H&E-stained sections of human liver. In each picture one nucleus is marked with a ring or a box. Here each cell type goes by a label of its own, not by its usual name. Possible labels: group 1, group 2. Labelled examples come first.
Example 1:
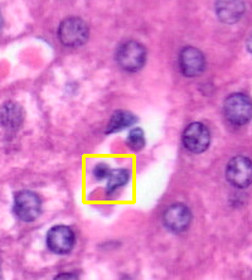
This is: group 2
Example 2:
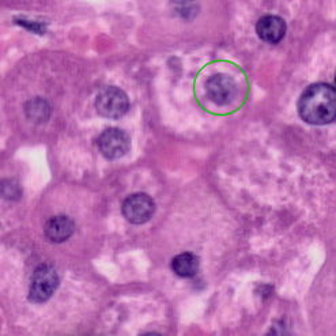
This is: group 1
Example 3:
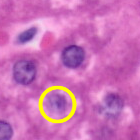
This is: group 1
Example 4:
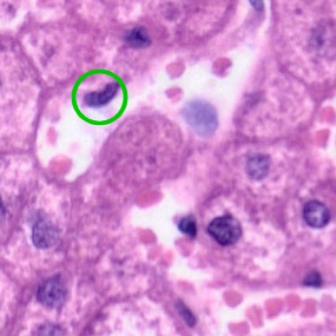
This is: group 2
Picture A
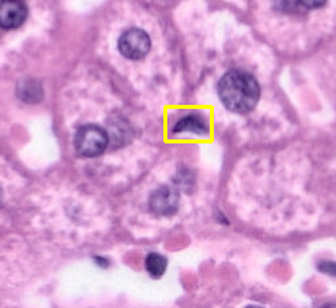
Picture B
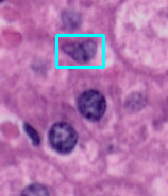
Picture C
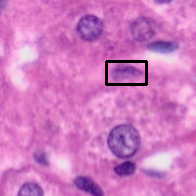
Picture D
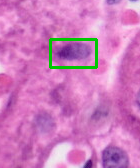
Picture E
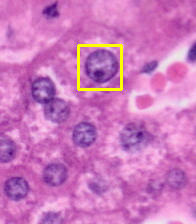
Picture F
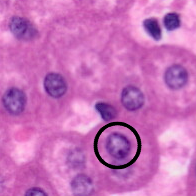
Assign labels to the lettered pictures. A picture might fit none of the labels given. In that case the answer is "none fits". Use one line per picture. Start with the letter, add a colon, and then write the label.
A: none fits
B: group 2
C: none fits
D: group 2
E: group 1
F: group 1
